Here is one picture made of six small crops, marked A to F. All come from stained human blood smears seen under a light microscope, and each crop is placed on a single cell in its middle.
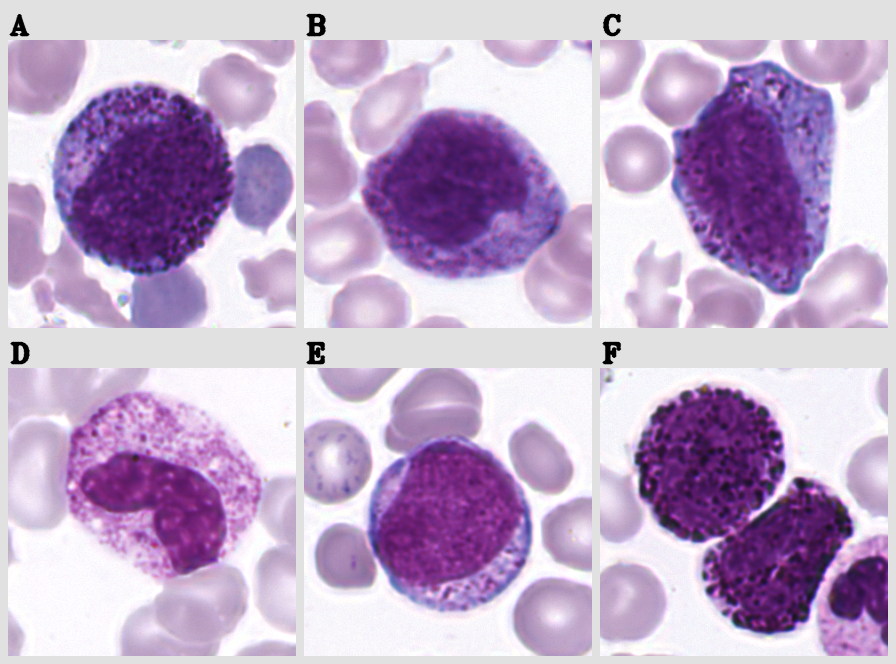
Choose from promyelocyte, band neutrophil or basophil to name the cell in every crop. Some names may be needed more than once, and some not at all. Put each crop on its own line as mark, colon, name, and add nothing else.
A: promyelocyte
B: promyelocyte
C: promyelocyte
D: band neutrophil
E: promyelocyte
F: basophil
